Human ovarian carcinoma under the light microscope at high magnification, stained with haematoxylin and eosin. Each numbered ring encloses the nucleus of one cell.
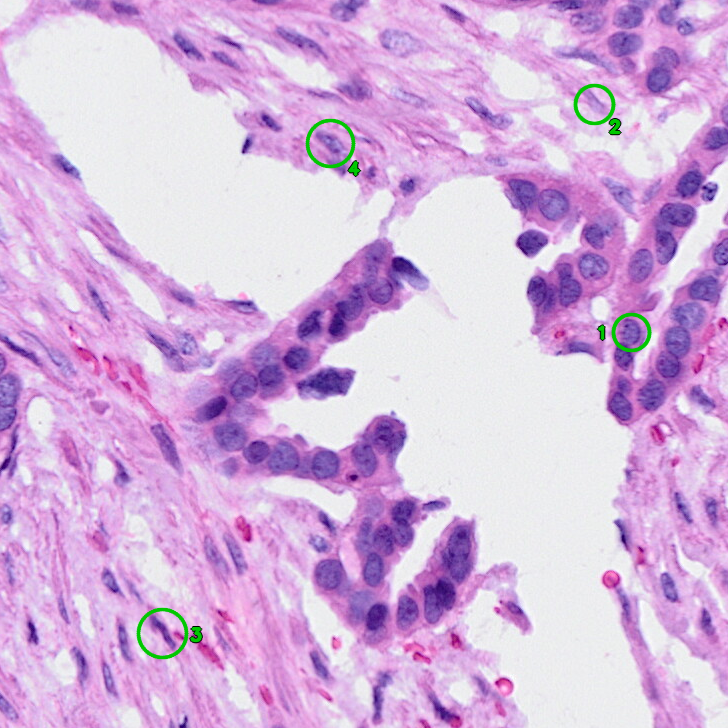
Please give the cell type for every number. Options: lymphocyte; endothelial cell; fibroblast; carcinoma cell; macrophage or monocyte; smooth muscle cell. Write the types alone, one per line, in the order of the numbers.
carcinoma cell
fibroblast
fibroblast
fibroblast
